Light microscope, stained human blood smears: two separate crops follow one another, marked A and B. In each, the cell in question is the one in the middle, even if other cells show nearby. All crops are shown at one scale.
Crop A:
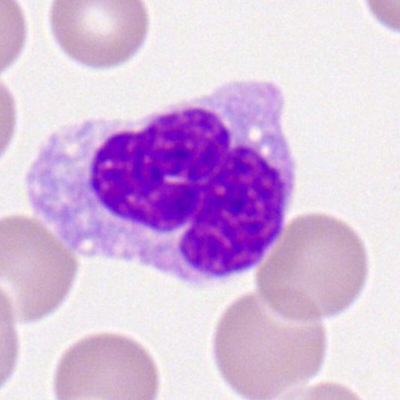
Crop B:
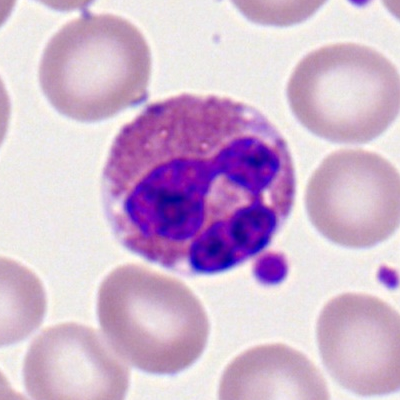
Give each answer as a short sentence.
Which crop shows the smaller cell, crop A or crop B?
It is the cell in crop B; the cell in crop A has about 1.5 times its area.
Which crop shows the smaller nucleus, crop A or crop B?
It is the nucleus in crop B; the one in crop A has about 1.5 times its area.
